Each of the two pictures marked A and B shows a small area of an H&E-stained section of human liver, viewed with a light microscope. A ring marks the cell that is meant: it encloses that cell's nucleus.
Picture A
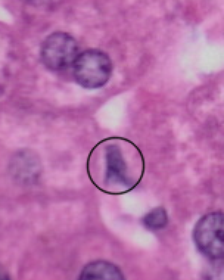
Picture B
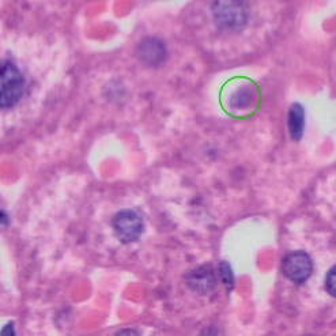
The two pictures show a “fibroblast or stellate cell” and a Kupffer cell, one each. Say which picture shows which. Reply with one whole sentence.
In picture A the cell is a “fibroblast or stellate cell”; in picture B, a Kupffer cell.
